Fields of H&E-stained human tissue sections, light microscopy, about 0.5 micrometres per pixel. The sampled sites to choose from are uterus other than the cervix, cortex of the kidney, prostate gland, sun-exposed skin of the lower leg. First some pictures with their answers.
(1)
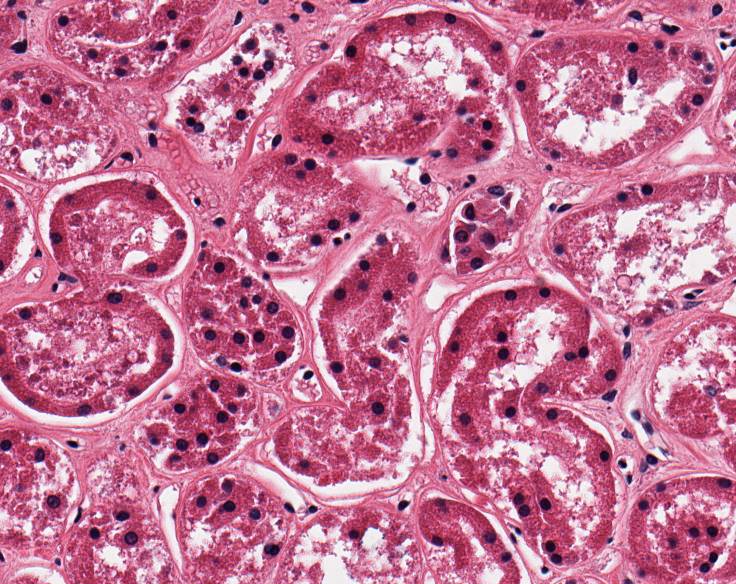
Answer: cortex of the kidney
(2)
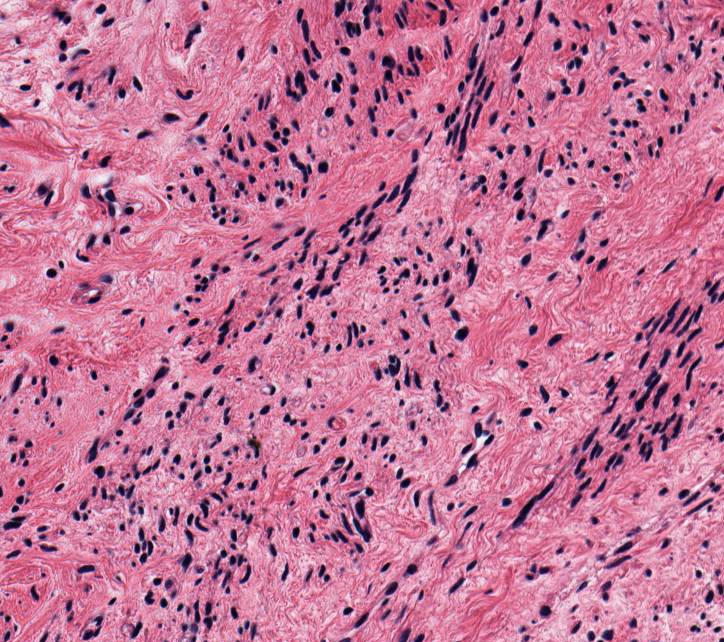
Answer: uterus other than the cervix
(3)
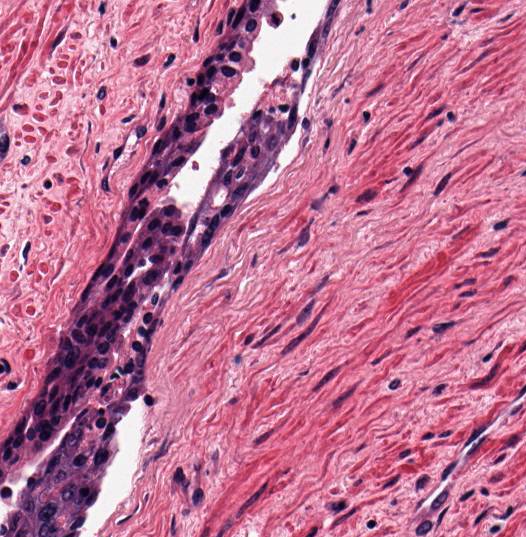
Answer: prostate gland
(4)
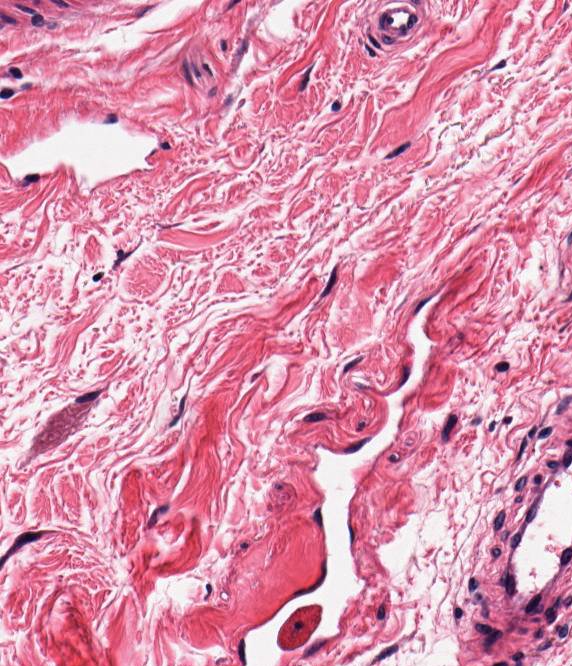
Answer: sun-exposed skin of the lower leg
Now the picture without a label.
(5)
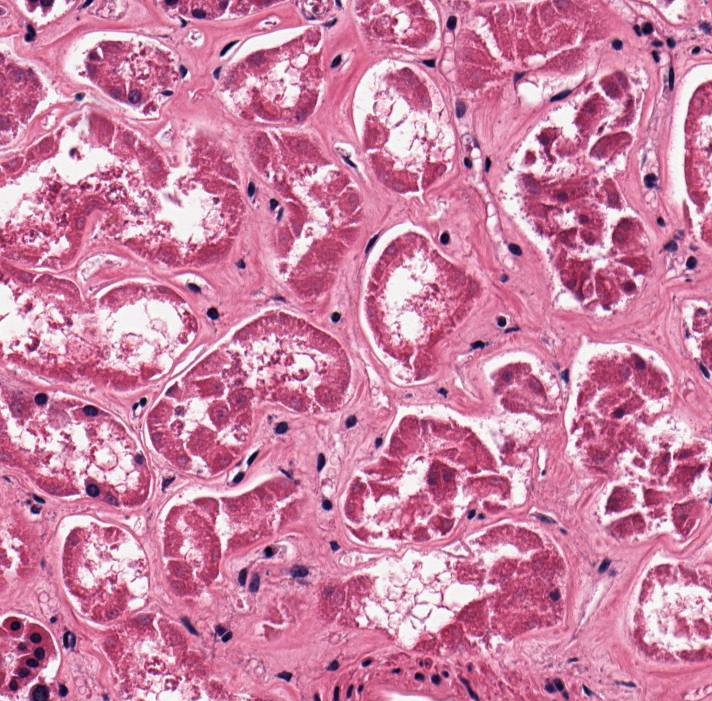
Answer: cortex of the kidney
